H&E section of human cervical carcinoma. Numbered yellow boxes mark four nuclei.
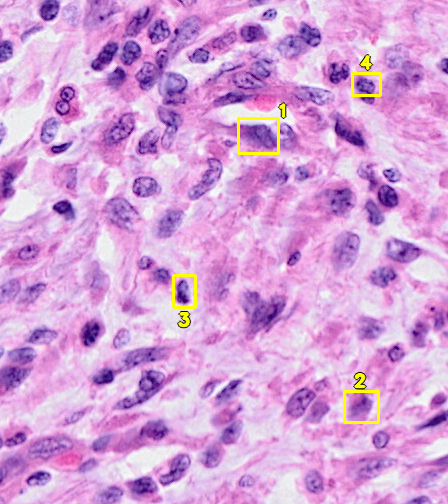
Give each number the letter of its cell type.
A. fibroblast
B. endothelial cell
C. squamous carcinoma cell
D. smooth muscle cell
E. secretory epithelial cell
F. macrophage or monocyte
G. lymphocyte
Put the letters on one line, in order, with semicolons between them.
B; A; G; G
